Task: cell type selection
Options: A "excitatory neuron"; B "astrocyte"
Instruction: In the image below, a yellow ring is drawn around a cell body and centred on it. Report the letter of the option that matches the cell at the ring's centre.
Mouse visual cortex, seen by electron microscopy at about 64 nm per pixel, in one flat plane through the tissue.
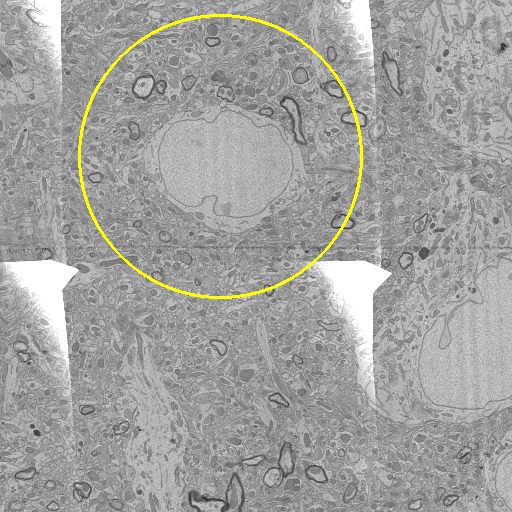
A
